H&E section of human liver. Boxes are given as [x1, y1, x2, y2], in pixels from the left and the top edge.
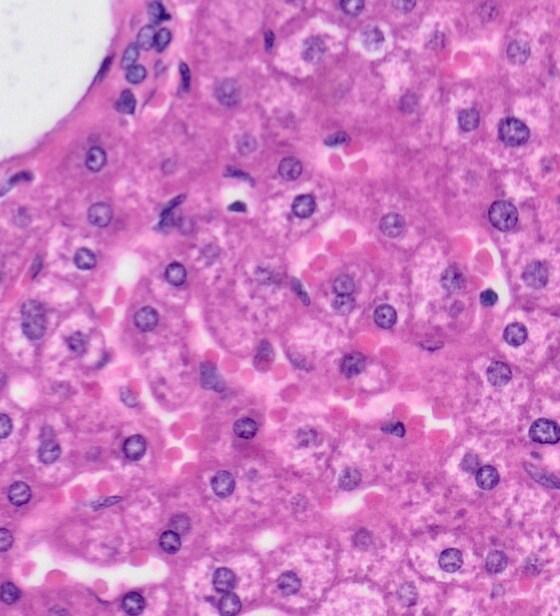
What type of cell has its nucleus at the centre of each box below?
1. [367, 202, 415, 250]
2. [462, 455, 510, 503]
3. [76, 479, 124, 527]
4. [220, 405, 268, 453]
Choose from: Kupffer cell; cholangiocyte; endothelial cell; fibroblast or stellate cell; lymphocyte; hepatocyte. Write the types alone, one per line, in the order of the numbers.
hepatocyte
hepatocyte
endothelial cell
hepatocyte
